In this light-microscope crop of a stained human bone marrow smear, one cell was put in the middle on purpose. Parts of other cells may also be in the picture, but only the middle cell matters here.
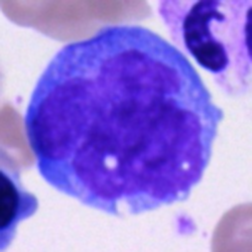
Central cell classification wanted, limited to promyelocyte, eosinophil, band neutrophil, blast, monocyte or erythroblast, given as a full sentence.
The target cell in the middle of the crop is a monocyte.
